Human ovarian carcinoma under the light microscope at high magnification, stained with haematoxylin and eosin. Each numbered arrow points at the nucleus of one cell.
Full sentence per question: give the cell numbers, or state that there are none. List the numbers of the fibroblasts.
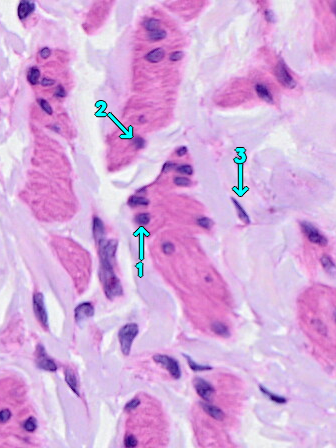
With the exception of cell 3, no marked cell is a fibroblast.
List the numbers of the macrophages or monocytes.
By cell type, the numbered cells include no macrophages or monocytes.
